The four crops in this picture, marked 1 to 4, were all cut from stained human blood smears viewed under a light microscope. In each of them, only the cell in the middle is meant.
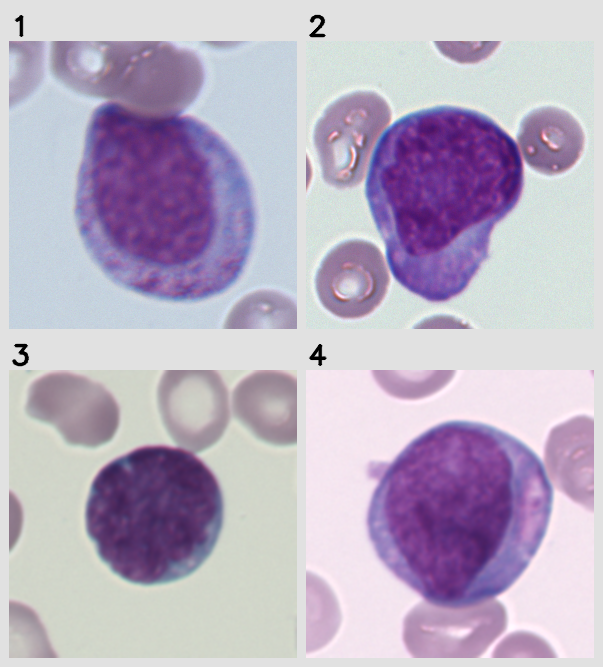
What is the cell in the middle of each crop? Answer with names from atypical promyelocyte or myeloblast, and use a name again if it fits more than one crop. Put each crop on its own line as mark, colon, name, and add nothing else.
1: atypical promyelocyte
2: atypical promyelocyte
3: myeloblast
4: atypical promyelocyte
